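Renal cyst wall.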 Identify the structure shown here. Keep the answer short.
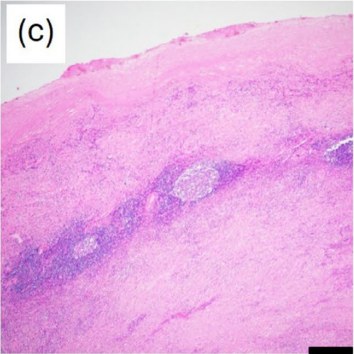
Secondary lymphoid follicle.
